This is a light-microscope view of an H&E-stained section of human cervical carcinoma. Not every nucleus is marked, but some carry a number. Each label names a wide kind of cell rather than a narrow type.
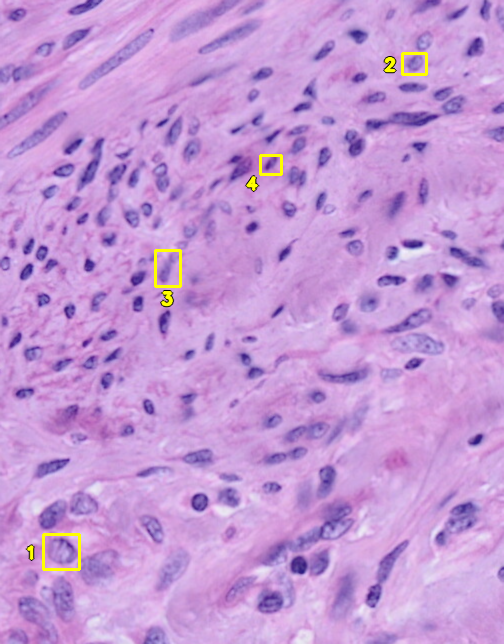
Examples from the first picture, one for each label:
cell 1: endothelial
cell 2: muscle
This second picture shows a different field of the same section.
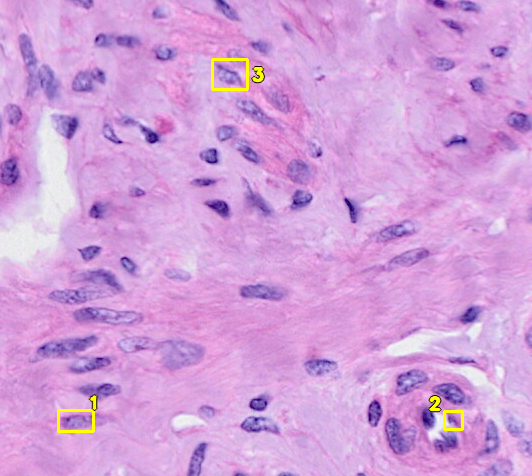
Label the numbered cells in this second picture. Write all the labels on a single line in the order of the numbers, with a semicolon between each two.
muscle; endothelial; muscle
